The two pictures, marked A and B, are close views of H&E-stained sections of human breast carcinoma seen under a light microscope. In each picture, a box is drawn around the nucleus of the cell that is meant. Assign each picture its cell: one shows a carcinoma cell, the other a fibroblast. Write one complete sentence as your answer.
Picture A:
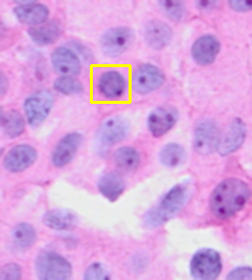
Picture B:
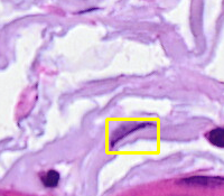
The cell in picture A is a carcinoma cell, and the one in picture B is a fibroblast.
